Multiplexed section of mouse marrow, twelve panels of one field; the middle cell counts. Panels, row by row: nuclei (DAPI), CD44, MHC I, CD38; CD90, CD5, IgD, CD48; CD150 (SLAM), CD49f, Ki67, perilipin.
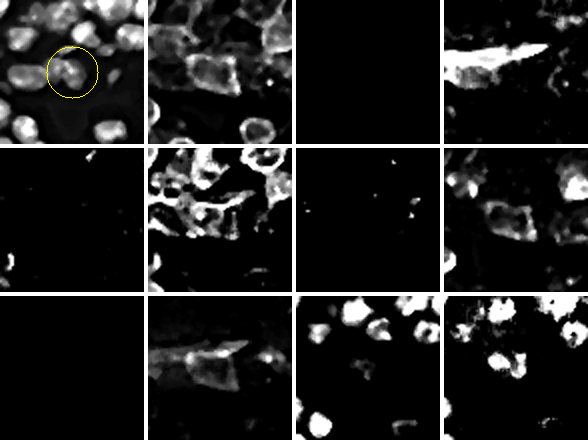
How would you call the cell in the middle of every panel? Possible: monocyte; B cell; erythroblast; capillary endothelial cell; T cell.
I would call it a capillary endothelial cell.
